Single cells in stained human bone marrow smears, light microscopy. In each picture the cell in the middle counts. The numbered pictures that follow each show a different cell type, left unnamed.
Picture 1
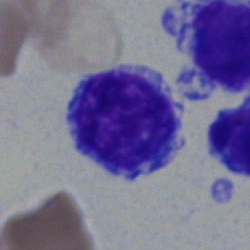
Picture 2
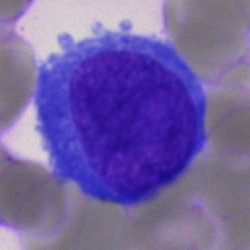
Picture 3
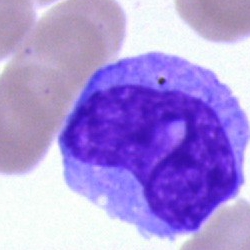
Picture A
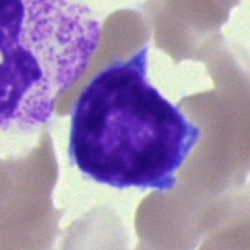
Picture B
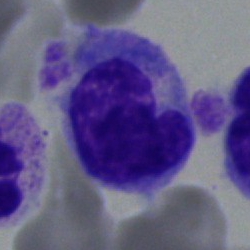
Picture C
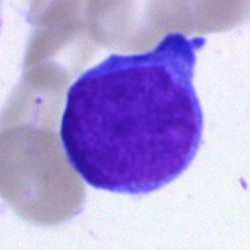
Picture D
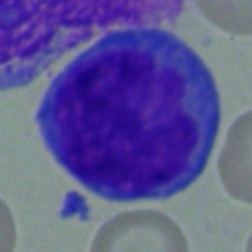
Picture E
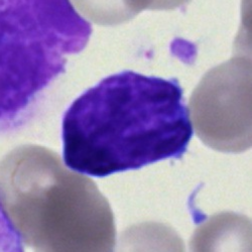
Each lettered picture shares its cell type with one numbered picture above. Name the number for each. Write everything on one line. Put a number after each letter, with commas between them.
A 1, B 3, C 2, D 2, E 2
